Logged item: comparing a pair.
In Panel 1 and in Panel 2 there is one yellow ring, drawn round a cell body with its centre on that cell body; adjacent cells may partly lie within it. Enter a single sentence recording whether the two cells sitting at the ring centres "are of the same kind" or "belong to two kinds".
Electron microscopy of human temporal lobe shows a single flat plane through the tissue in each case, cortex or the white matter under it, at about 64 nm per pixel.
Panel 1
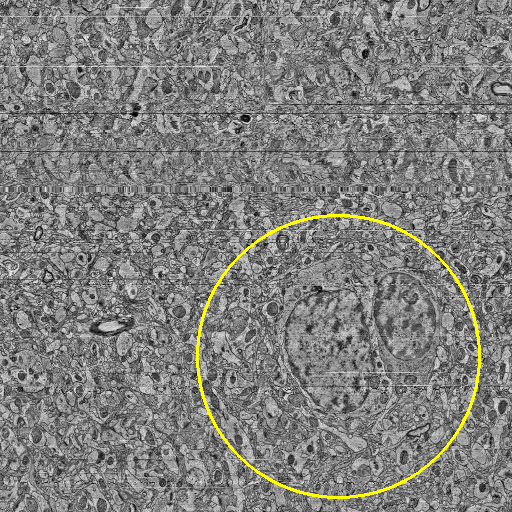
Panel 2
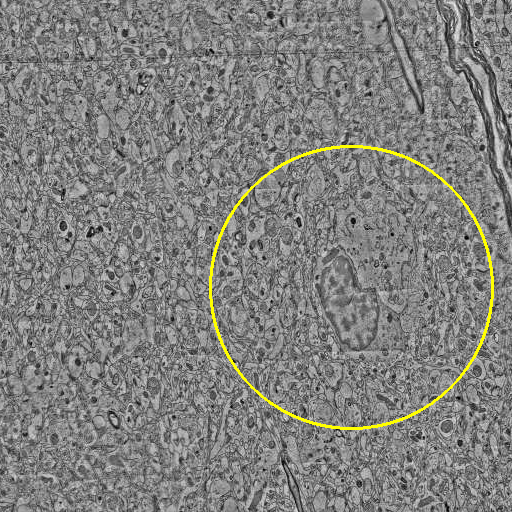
Logged: the cells centred in the rings of Panel 1 and Panel 2 belong to two kinds.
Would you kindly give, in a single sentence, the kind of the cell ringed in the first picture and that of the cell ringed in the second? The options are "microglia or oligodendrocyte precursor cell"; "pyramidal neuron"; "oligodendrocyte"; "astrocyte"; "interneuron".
The second cell is an oligodendrocyte, and the first cell is an interneuron.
